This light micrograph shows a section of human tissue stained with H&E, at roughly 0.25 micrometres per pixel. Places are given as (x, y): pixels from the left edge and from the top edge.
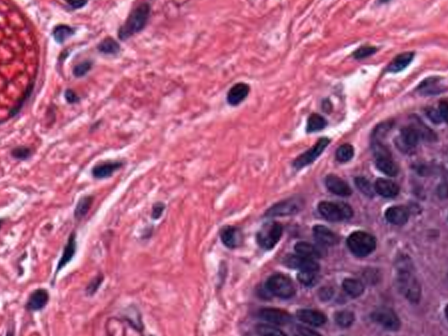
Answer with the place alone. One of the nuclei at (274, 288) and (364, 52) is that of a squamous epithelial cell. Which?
(274, 288)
